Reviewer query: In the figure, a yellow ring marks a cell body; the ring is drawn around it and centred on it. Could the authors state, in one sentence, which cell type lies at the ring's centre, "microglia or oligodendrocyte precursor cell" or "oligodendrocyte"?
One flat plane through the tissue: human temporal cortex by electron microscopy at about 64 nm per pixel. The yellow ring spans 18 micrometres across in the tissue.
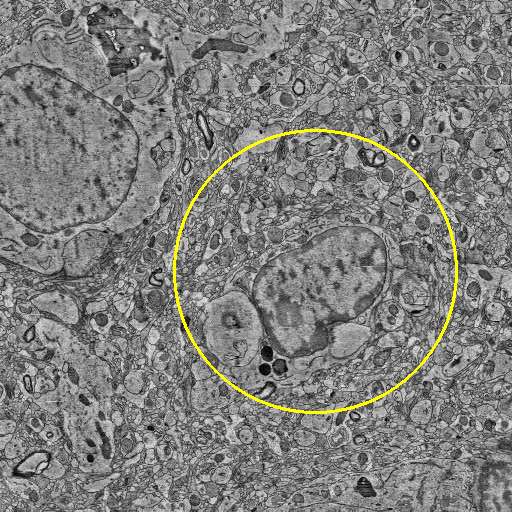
The ring is centred on a microglial cell or oligodendrocyte precursor cell.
